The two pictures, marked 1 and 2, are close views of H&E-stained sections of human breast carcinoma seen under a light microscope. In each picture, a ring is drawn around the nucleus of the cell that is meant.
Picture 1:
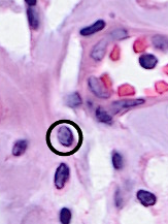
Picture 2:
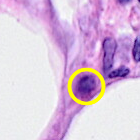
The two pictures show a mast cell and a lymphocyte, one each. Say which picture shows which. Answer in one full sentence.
Picture 1 shows a lymphocyte and picture 2 shows a mast cell.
